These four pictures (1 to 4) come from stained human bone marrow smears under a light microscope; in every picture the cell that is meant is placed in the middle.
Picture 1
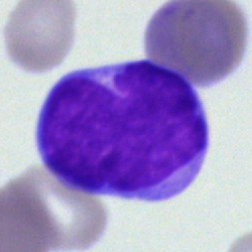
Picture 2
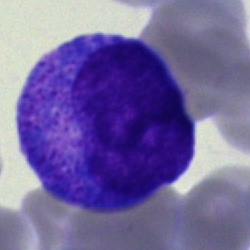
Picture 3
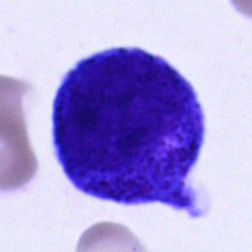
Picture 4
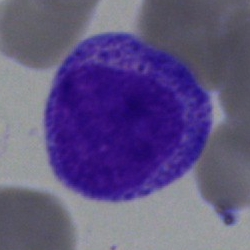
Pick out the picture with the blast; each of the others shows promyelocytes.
1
